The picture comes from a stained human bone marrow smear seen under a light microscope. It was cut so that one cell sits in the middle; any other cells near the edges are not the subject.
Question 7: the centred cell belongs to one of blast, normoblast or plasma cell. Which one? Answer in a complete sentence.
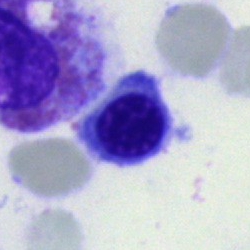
In this smear crop, the middle cell is a normoblast.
